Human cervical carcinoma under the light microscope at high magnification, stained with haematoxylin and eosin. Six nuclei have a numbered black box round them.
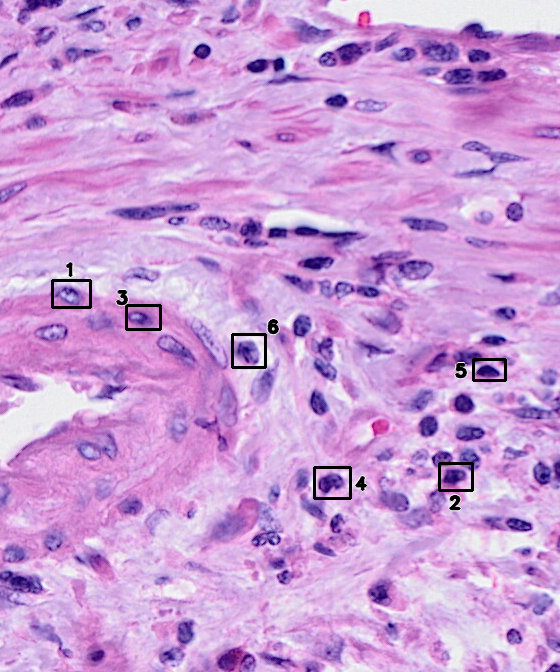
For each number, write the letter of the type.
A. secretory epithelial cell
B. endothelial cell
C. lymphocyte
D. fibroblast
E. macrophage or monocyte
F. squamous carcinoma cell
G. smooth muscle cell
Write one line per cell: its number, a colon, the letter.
1: G
2: C
3: G
4: C
5: C
6: C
